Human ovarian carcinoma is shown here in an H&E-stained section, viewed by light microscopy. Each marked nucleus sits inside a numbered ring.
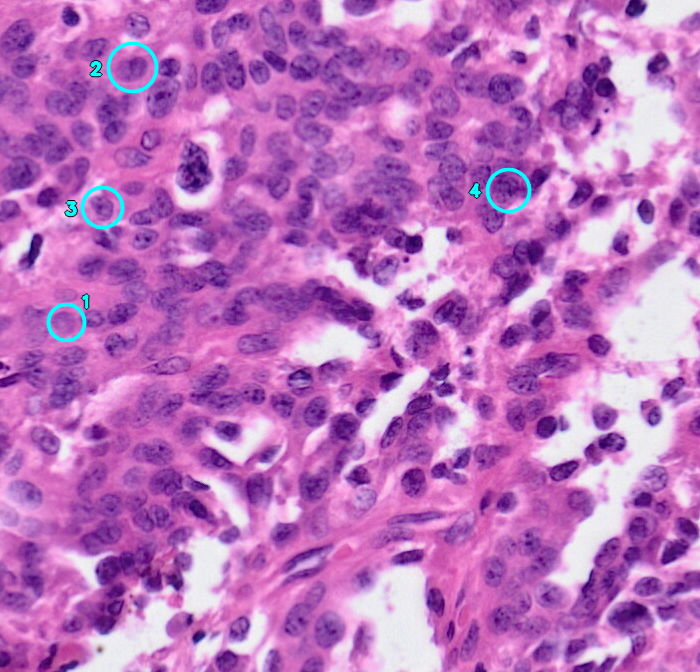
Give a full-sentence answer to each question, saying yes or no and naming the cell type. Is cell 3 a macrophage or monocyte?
Yes, the cell with its nucleus marked 3 is a macrophage or monocyte.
